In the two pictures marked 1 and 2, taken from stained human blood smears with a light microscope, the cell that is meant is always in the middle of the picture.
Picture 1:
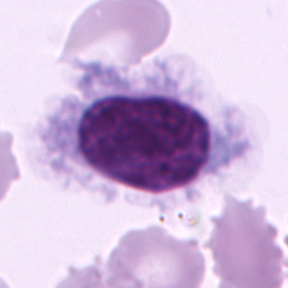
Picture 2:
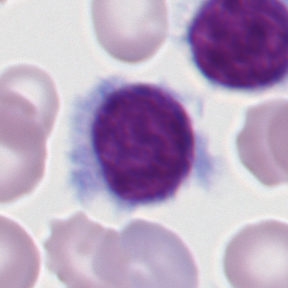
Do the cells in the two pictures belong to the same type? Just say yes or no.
yes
